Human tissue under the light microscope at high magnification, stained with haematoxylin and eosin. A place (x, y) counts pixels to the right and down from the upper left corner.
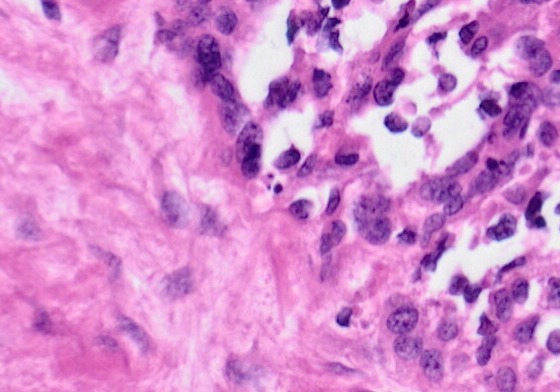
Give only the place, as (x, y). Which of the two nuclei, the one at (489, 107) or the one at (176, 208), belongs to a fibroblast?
(176, 208)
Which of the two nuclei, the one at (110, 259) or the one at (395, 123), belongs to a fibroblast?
(110, 259)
